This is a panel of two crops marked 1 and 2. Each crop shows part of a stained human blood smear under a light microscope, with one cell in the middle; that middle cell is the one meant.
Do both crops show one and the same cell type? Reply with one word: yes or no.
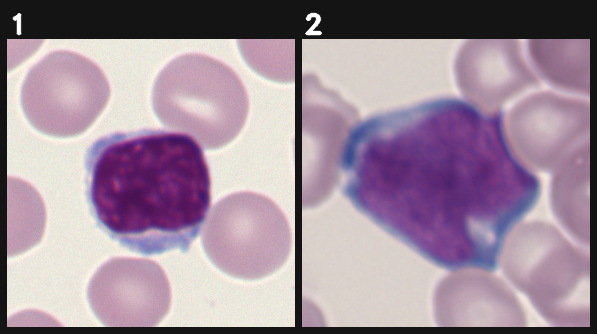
no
